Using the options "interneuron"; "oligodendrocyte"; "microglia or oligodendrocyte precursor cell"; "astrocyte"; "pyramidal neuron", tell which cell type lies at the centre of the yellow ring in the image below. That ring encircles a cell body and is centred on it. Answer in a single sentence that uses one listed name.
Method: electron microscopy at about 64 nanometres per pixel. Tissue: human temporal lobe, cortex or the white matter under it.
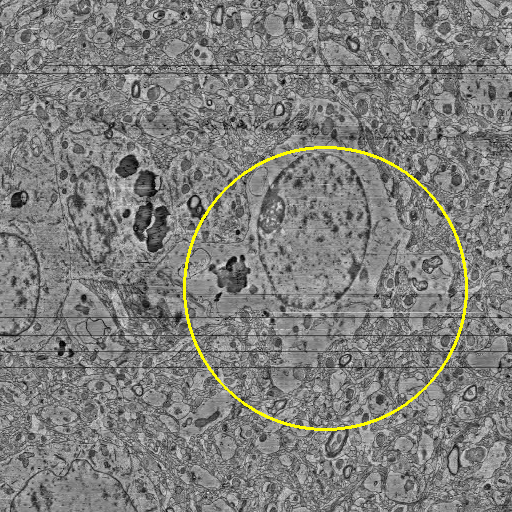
At the centre of the yellow ring lies the body of an astrocyte.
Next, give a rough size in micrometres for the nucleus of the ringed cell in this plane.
In this plane the nucleus spans approximately 10 by 7 micrometers.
